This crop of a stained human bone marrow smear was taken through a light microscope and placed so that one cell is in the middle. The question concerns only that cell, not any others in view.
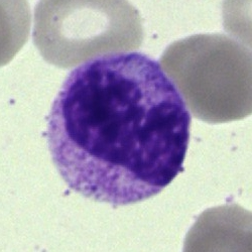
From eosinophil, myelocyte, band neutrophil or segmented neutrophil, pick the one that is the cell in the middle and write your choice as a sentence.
The center cell of this crop is a band neutrophil.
